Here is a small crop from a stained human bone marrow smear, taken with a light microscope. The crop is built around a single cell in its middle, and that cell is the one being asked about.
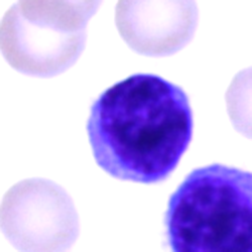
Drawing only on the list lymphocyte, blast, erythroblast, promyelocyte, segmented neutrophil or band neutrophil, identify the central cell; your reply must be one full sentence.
The cell at the middle of the frame should be recorded as a lymphocyte.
